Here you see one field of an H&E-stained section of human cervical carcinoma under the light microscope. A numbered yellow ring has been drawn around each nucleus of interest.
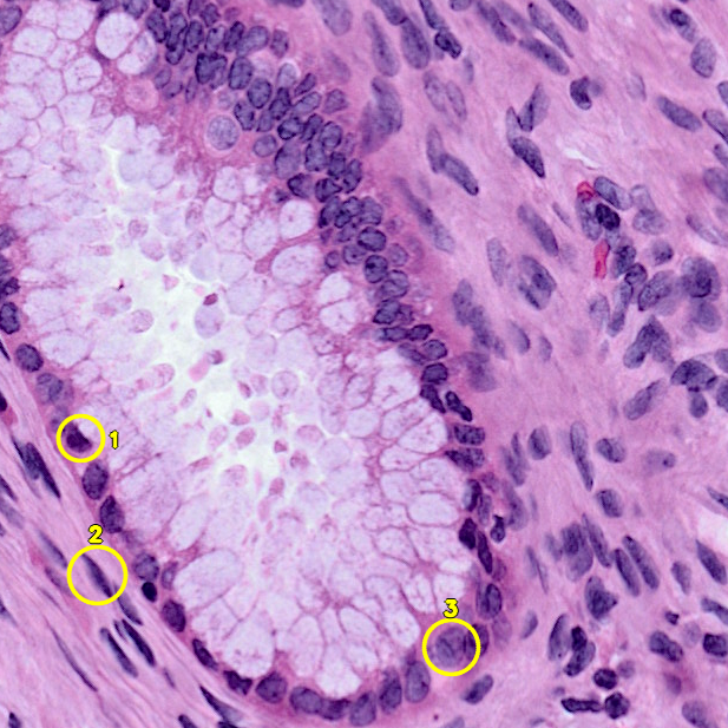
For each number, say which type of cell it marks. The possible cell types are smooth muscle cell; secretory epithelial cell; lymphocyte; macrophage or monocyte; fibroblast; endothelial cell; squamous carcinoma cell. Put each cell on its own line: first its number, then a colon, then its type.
1: secretory epithelial cell
2: fibroblast
3: secretory epithelial cell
